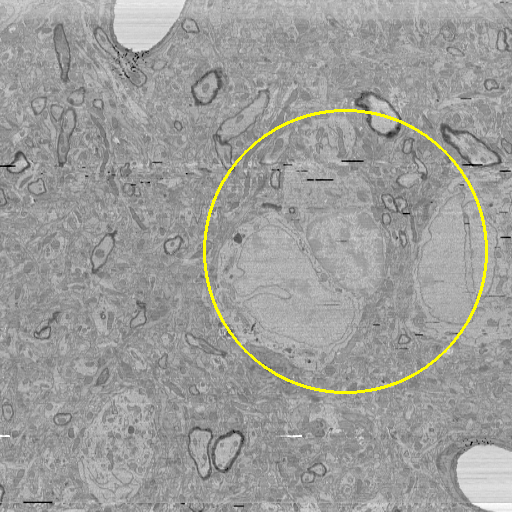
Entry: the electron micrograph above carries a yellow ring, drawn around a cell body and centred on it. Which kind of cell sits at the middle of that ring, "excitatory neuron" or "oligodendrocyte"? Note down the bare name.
oligodendrocyte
